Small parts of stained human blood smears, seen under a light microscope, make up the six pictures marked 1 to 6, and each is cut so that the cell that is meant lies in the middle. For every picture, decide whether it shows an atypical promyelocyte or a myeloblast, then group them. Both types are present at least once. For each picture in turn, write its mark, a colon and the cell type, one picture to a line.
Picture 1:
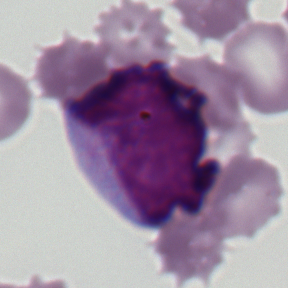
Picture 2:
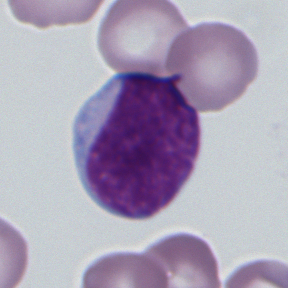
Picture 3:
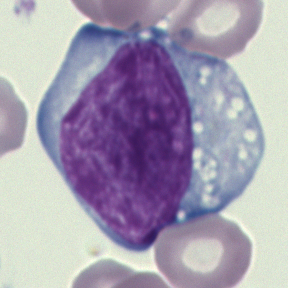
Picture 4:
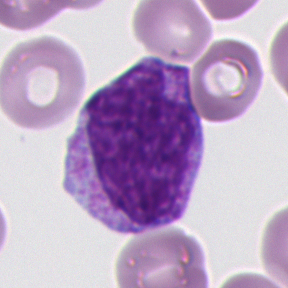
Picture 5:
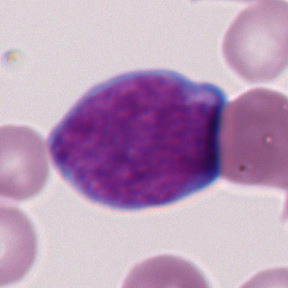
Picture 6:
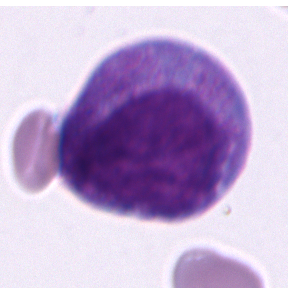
1: myeloblast
2: myeloblast
3: myeloblast
4: atypical promyelocyte
5: myeloblast
6: atypical promyelocyte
